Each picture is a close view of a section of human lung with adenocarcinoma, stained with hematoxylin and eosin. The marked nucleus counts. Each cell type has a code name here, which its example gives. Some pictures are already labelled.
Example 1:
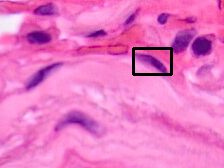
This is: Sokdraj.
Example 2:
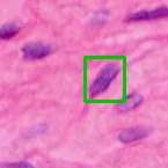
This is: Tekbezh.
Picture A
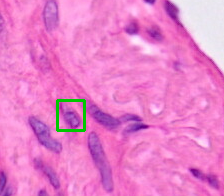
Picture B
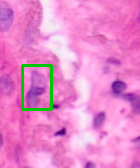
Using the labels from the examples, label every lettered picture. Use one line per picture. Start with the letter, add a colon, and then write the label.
A: Tekbezh.
B: Tekbezh.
